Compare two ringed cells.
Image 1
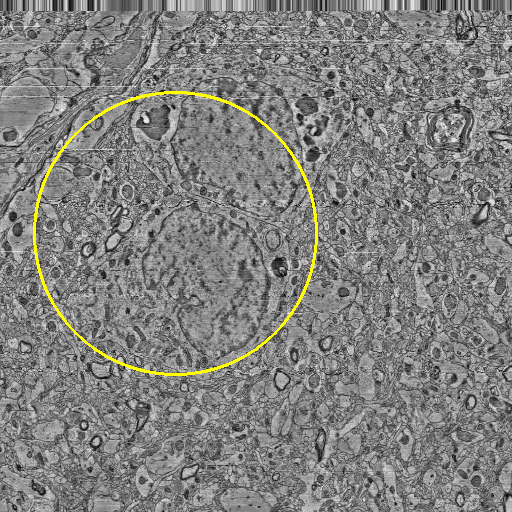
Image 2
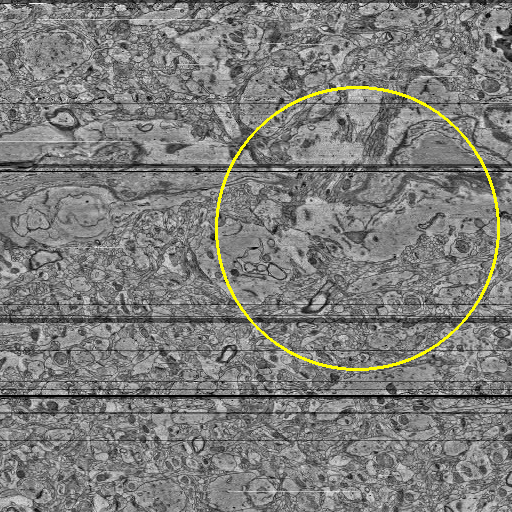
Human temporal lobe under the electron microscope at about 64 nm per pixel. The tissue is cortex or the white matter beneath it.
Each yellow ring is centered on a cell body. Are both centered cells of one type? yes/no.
no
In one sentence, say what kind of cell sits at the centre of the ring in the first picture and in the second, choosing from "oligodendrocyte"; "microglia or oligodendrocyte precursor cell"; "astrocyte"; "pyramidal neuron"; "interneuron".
The first picture's ringed cell is an interneuron, while the second picture's is an astrocyte.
